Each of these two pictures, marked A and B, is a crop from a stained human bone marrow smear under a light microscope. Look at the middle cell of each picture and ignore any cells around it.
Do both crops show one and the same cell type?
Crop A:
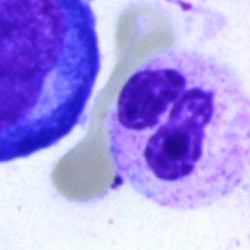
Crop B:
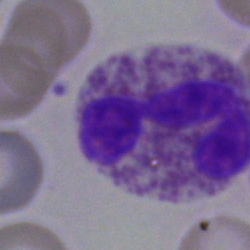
no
